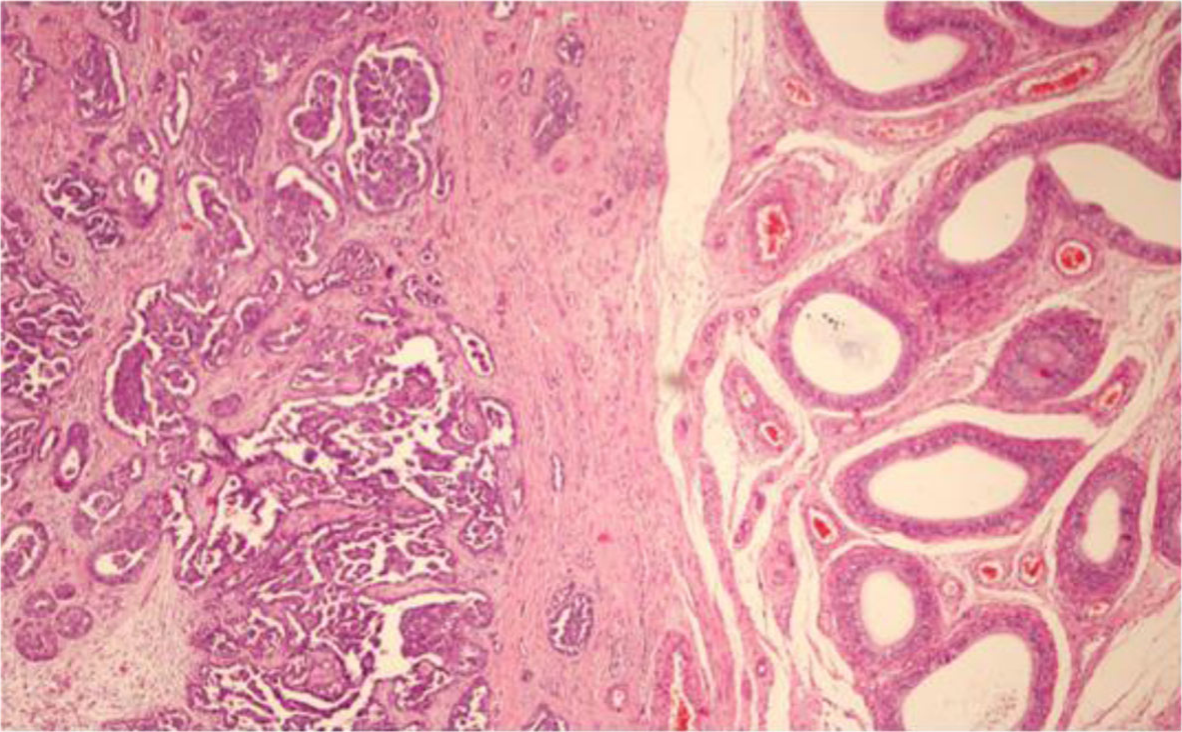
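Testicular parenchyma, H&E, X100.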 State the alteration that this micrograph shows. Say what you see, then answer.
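The left half is filled with crowded, dark purple epithelial cells forming branching fronds and glands. Irregular slit-like spaces separate the epithelial fronds. A band of pink fibrous stroma separates this growth from orderly ducts on the right.
Answer: pseudopapillary epithelioid neoplastic proliferation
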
